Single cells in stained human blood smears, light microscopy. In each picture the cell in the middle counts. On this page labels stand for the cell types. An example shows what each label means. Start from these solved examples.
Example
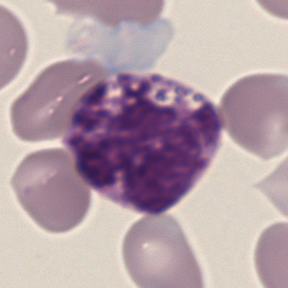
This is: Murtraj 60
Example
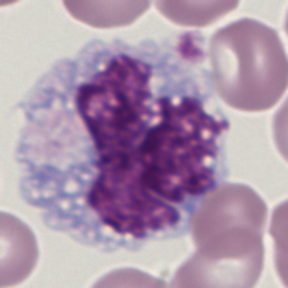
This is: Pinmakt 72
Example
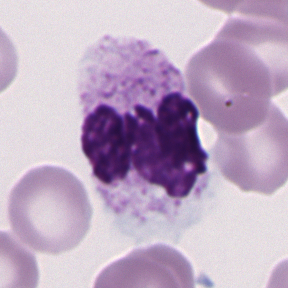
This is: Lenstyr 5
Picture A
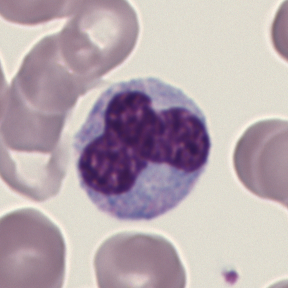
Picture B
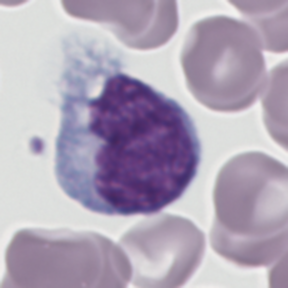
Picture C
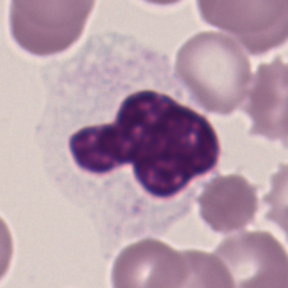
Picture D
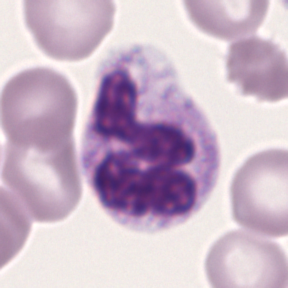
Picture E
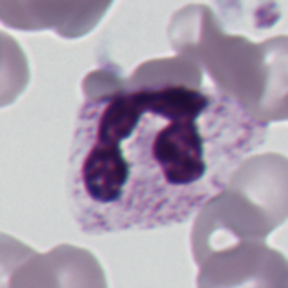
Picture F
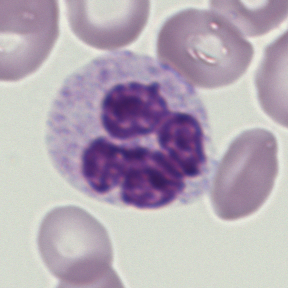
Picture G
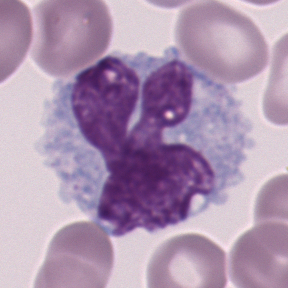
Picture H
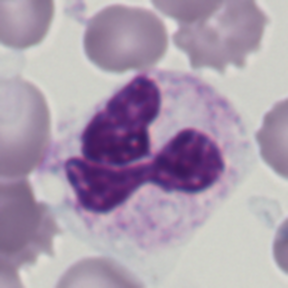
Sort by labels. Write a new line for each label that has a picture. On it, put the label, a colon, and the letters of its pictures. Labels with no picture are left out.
Pinmakt 72: A, B, G
Lenstyr 5: C, D, E, F, H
